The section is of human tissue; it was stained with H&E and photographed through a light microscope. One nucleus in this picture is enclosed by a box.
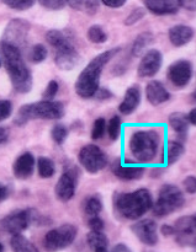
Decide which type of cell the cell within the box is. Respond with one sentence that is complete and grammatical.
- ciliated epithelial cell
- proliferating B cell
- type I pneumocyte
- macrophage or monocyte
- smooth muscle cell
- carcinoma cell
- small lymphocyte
At the level of cell identity, the cell within the box is a proliferating B cell.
